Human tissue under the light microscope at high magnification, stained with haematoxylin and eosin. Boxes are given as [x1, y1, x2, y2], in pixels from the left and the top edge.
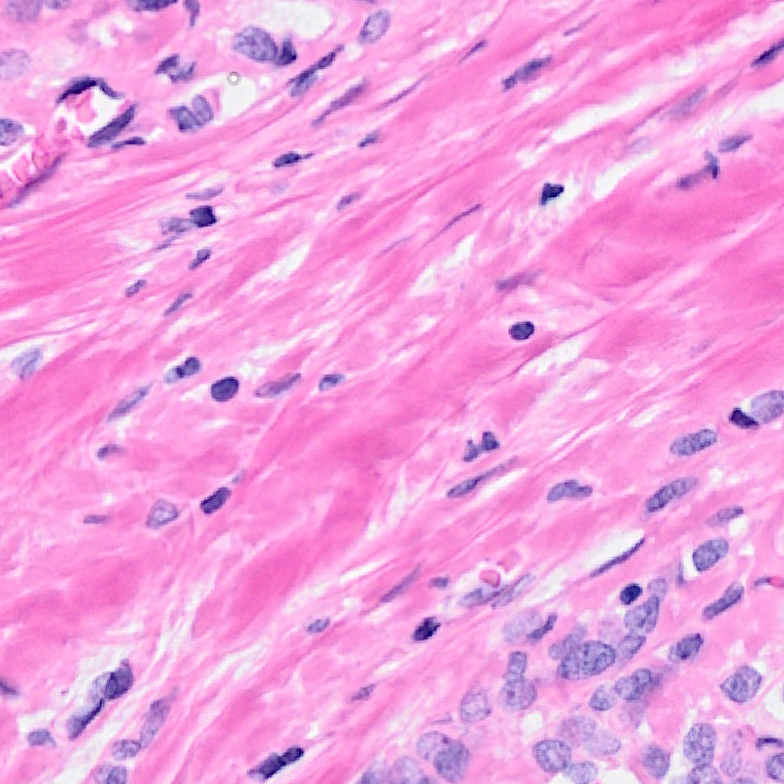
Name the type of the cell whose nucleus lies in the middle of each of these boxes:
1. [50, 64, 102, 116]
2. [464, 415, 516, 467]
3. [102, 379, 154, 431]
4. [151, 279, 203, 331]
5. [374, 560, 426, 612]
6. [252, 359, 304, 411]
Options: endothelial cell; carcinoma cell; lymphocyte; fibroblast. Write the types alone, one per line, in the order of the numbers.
endothelial cell
lymphocyte
fibroblast
fibroblast
fibroblast
fibroblast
